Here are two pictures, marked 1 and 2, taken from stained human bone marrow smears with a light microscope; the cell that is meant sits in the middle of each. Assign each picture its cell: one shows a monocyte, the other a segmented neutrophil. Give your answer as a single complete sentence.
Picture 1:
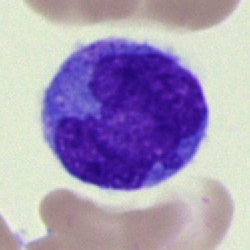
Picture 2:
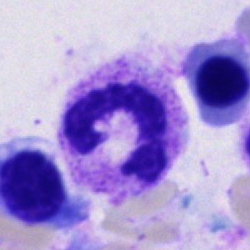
Picture 2 shows a segmented neutrophil, while picture 1 shows a monocyte.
